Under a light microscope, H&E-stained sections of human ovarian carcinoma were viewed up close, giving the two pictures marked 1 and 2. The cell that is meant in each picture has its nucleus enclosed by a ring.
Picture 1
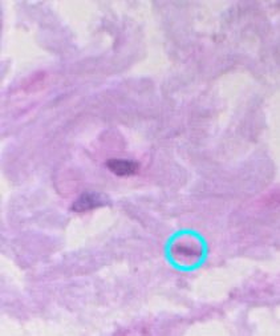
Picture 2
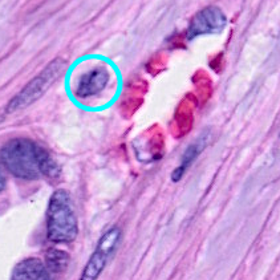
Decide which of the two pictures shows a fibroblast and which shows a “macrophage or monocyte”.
1: fibroblast
2: macrophage or monocyte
